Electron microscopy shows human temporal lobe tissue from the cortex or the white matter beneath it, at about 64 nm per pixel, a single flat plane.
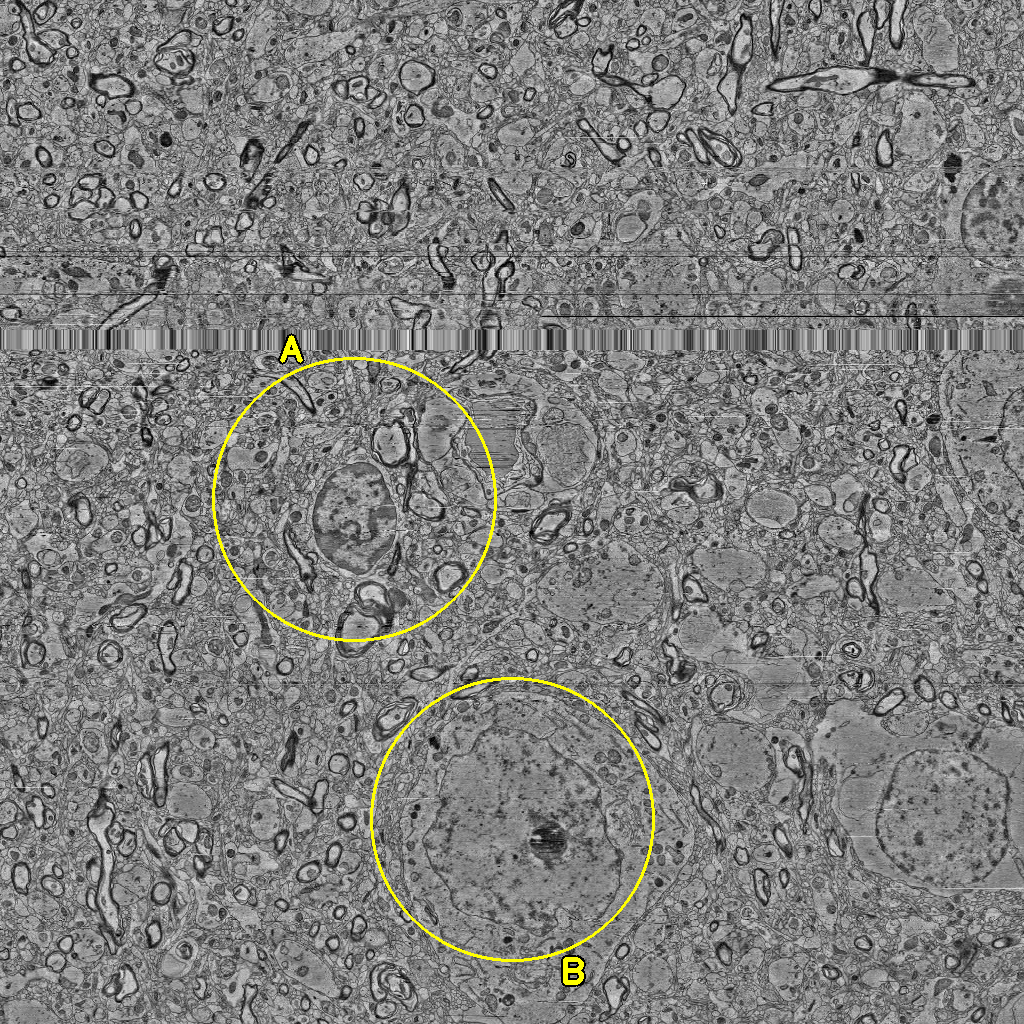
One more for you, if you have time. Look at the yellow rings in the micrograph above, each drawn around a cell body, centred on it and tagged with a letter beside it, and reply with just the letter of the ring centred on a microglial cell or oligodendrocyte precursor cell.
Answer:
A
